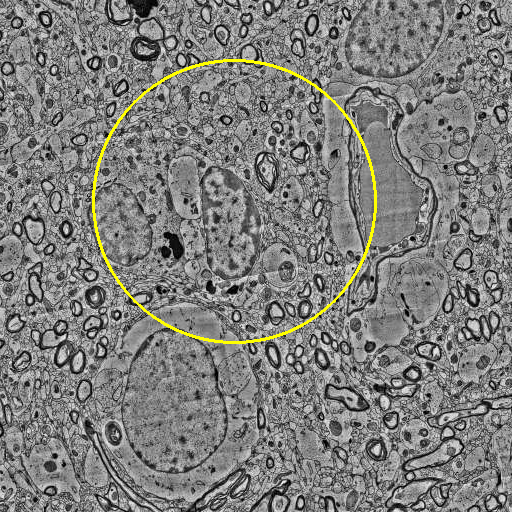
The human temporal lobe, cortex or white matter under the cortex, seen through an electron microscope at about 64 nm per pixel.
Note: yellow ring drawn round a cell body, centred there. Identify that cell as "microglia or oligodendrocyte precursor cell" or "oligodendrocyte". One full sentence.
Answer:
The cell in the middle of the ring is a microglial cell or oligodendrocyte precursor cell.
